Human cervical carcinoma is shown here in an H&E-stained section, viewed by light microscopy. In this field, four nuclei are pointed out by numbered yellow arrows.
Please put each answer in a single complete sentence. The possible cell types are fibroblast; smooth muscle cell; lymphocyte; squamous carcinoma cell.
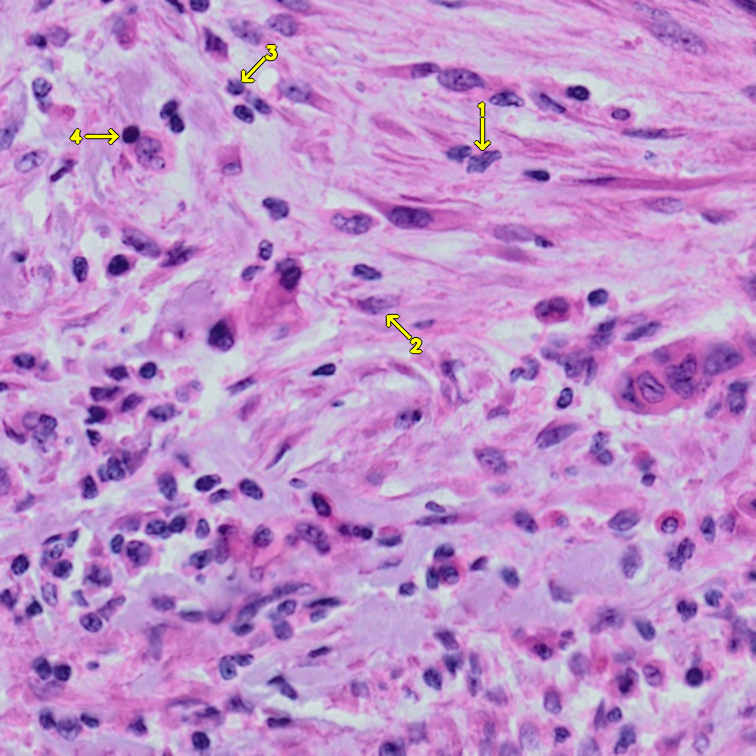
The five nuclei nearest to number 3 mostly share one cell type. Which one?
Around number 3, most of the five nearest nuclei are those of fibroblasts.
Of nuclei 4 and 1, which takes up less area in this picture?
The smaller nucleus is 4, and 1 covers roughly 1.5 times its area.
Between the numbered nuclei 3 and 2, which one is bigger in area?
The larger nucleus is 2, at roughly 2 times the area of 3.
